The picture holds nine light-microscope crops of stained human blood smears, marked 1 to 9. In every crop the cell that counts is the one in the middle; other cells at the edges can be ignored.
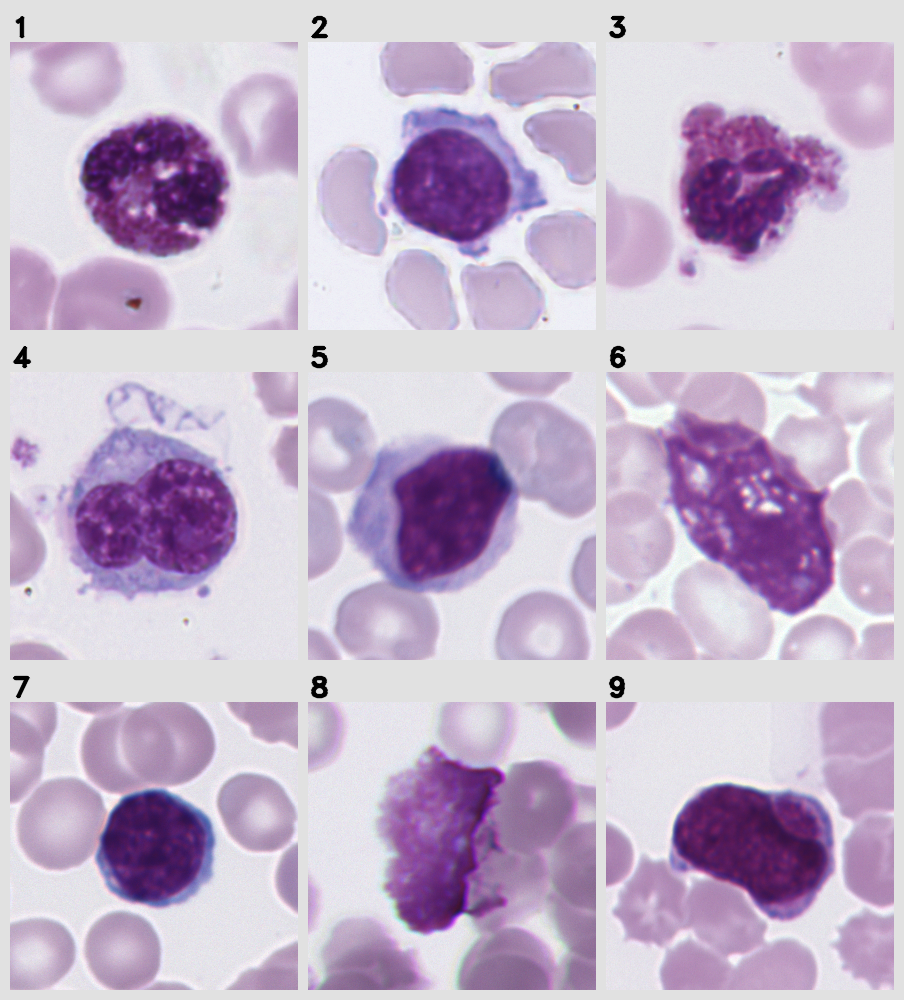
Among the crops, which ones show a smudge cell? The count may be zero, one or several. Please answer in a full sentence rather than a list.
What crops 6 and 8 show in the centre are smudge cells.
